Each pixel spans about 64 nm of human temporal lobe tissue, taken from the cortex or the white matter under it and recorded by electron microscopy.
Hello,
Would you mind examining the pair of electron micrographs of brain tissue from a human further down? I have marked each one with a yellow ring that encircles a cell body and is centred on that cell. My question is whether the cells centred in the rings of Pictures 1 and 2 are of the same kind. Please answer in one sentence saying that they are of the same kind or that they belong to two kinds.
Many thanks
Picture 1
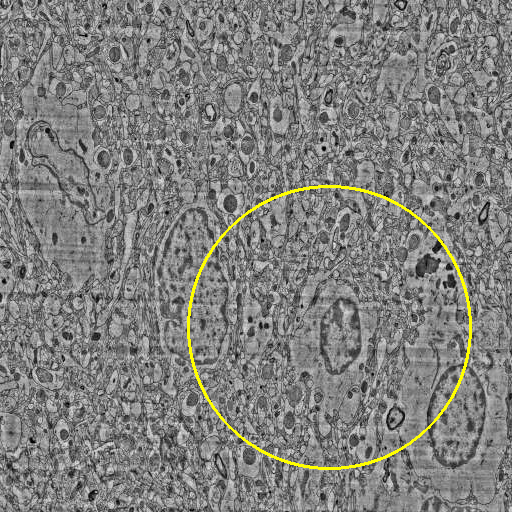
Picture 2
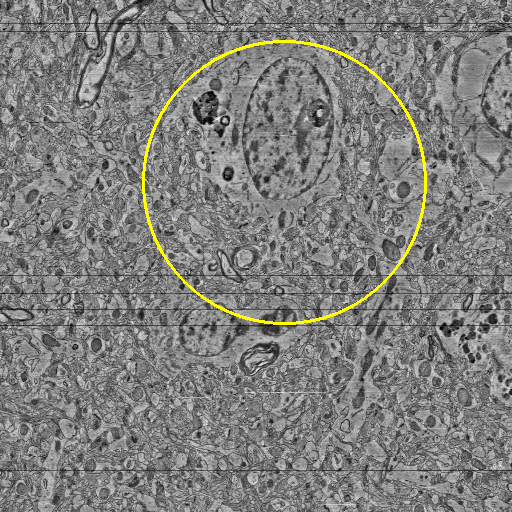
In Pictures 1 and 2, the cells at the heart of the rings are of the same kind.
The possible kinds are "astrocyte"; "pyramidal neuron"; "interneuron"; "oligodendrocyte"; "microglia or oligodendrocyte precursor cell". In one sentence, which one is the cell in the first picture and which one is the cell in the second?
In the first picture and in the second, the ring is centred on an astrocyte.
